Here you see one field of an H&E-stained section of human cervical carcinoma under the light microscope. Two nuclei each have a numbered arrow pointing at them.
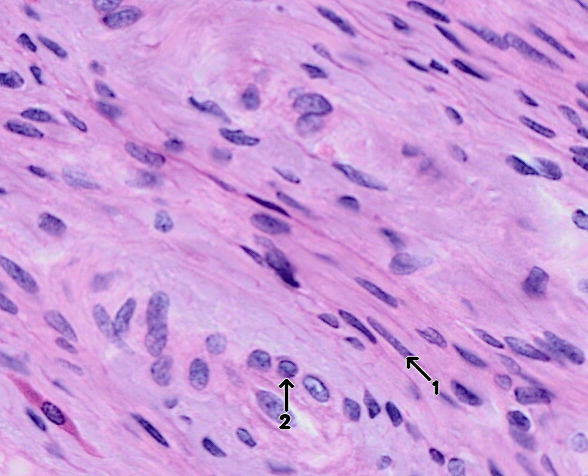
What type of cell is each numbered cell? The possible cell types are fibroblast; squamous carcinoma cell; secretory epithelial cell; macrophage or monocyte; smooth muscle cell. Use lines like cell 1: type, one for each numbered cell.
cell 1: fibroblast
cell 2: smooth muscle cell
